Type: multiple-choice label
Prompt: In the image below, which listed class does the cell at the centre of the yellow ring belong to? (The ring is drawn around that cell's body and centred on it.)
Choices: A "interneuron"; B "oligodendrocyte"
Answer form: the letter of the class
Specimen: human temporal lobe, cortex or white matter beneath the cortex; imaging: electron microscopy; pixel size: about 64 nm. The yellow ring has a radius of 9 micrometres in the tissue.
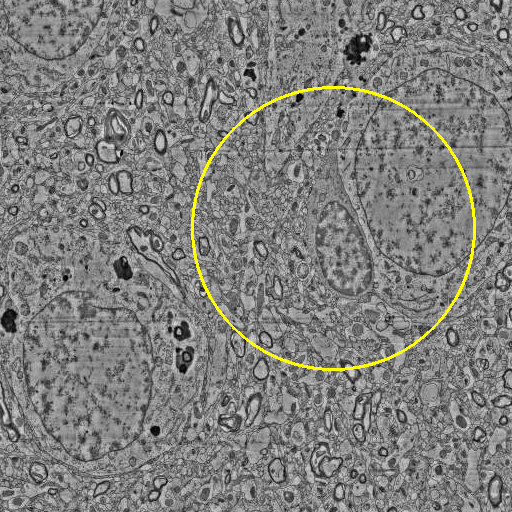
B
